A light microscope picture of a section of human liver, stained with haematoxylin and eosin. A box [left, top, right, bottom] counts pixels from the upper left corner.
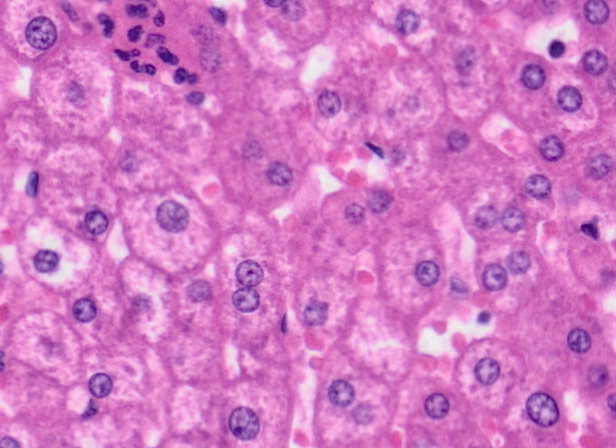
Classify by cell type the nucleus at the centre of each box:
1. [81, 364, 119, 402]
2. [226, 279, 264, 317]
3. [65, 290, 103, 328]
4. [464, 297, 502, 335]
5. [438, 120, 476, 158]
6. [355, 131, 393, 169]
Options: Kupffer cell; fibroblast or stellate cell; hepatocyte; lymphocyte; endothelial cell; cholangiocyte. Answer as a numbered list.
1. hepatocyte
2. hepatocyte
3. hepatocyte
4. lymphocyte
5. hepatocyte
6. endothelial cell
